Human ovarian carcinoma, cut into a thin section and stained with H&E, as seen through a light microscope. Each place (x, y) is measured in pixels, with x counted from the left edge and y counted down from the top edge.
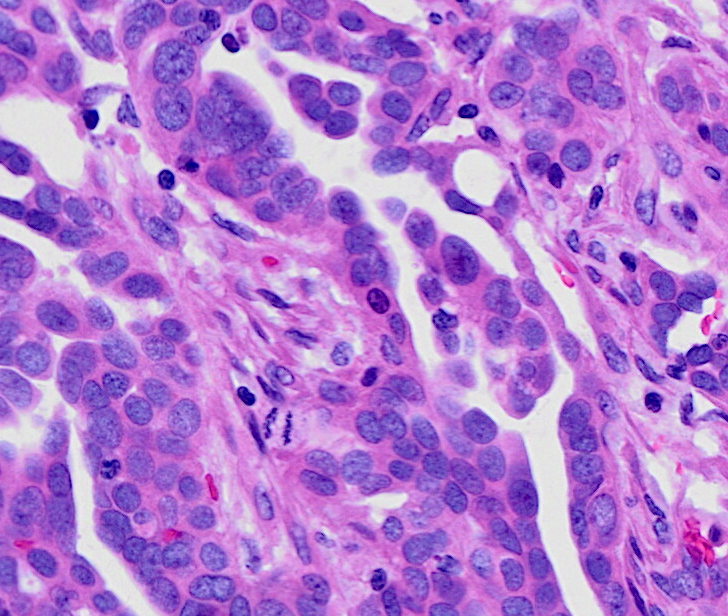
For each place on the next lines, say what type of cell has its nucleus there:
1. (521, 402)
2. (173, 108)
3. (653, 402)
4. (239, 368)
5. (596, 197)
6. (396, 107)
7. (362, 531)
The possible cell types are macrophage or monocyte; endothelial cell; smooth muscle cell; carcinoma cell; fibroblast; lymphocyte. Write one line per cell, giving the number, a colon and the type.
1: carcinoma cell
2: carcinoma cell
3: lymphocyte
4: fibroblast
5: lymphocyte
6: carcinoma cell
7: fibroblast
